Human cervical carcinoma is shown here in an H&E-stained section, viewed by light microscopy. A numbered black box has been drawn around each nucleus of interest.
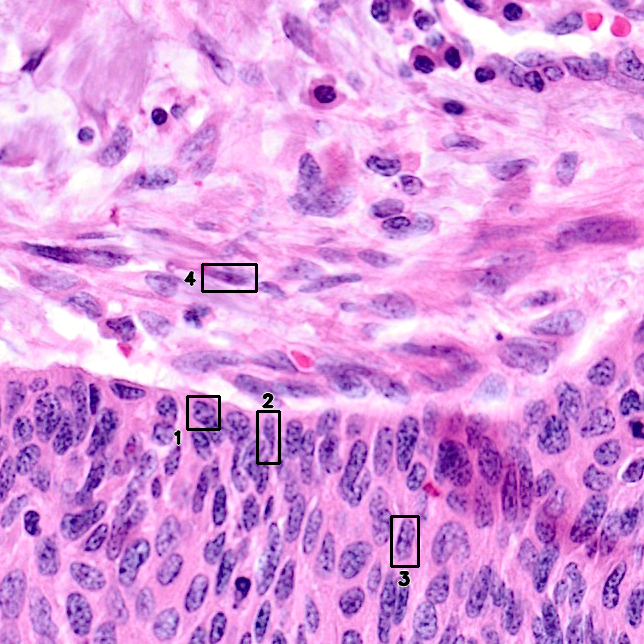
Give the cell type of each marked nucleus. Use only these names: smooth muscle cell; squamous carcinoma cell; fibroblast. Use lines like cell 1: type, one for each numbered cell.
cell 1: squamous carcinoma cell
cell 2: squamous carcinoma cell
cell 3: squamous carcinoma cell
cell 4: fibroblast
